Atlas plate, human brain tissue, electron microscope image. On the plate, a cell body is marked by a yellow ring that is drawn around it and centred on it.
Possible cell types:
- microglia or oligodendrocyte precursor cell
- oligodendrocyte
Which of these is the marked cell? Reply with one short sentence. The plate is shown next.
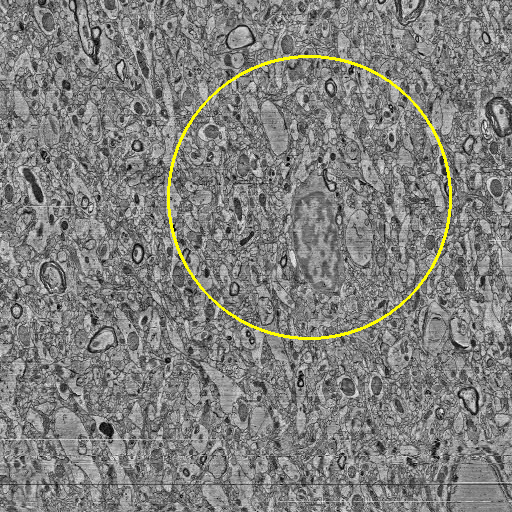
The marked cell is an oligodendrocyte.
